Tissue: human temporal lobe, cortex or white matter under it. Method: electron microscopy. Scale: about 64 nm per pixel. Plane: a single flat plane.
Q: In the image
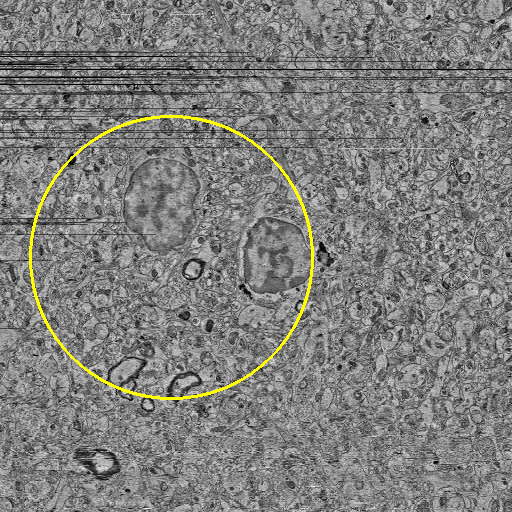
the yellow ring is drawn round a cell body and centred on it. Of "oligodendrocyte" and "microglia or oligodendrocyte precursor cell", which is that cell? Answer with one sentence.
The cell centred in the ring is an oligodendrocyte.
